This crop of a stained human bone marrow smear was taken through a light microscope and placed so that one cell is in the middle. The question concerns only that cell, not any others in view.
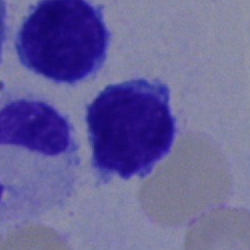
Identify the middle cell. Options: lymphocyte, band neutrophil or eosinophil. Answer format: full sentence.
The cell the crop is centered on is a lymphocyte.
